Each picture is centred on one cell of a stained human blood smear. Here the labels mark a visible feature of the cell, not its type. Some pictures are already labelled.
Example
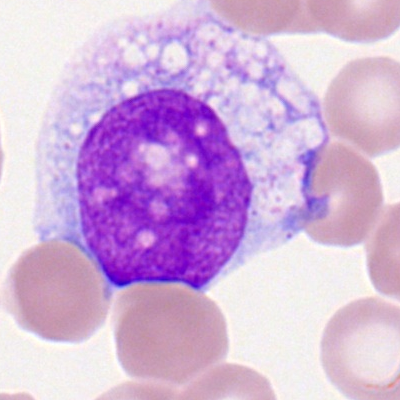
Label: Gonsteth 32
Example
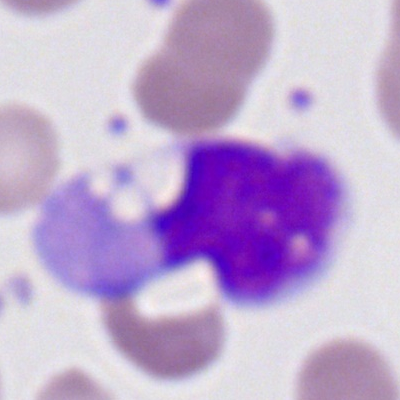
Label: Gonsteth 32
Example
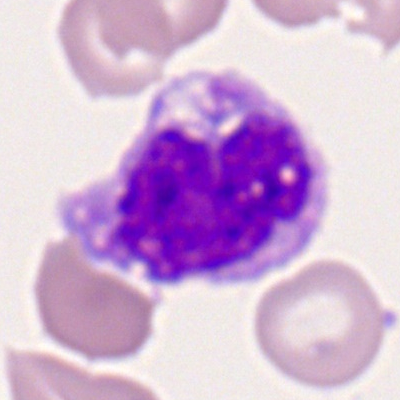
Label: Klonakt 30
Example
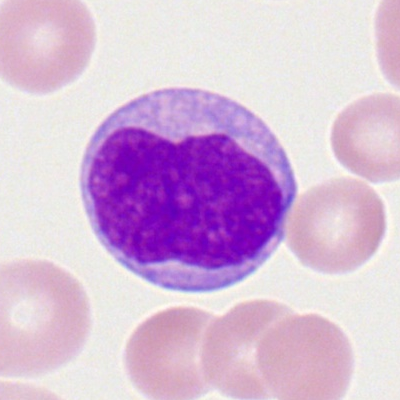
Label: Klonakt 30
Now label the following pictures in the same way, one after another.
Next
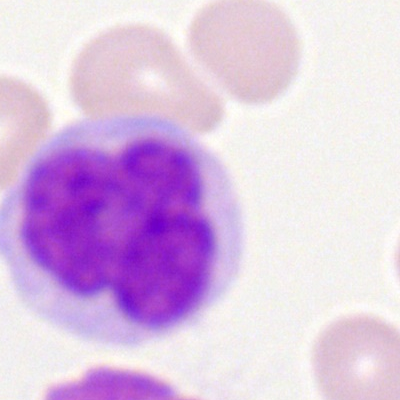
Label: Klonakt 30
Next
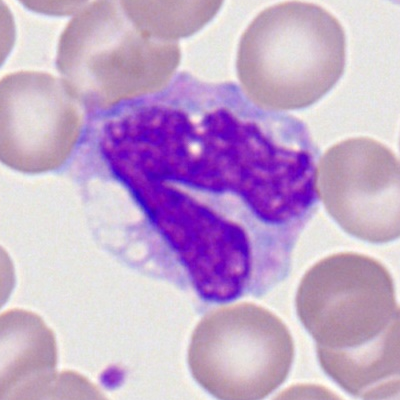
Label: Gonsteth 32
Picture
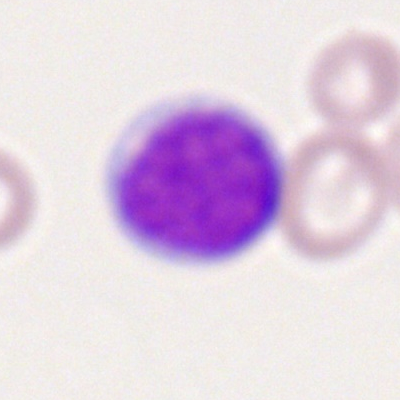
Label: Klonakt 30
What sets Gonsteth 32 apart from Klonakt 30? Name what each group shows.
Seen in Gonsteth 32: abundant cytoplasm; seen in Klonakt 30: scant cytoplasm.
